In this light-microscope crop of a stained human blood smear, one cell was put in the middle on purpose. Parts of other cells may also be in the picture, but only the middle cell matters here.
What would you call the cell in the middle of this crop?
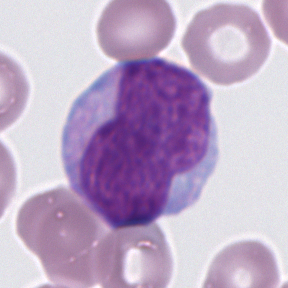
atypical promyelocyte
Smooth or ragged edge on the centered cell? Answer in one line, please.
A smooth, projection-free outline is what this cell has.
